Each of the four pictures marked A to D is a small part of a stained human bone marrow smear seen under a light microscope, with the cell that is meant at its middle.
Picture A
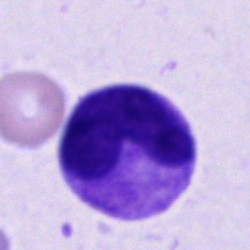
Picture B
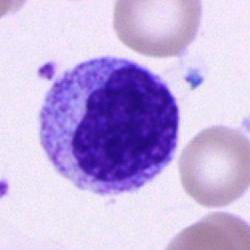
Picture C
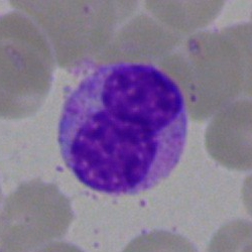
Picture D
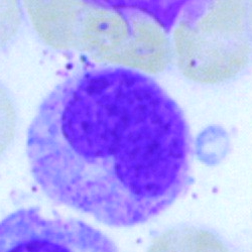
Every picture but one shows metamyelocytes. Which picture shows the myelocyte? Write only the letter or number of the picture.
B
